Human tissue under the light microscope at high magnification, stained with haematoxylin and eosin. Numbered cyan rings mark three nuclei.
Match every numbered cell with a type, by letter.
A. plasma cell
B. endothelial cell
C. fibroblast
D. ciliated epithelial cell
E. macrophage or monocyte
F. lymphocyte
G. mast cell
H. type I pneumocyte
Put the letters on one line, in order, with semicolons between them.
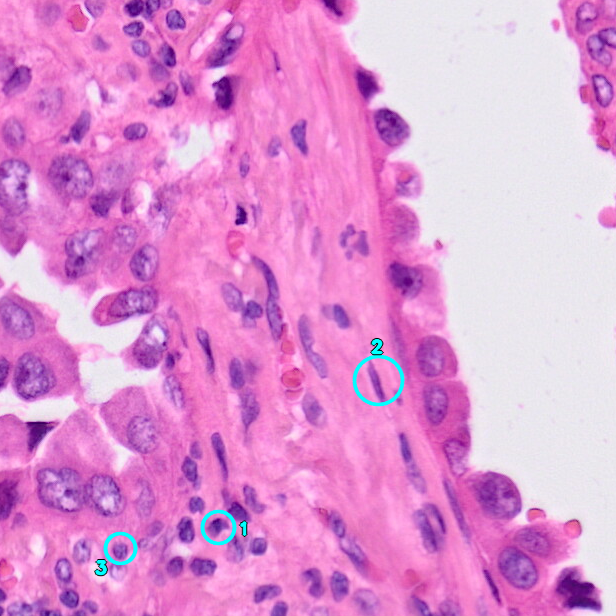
F; C; F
